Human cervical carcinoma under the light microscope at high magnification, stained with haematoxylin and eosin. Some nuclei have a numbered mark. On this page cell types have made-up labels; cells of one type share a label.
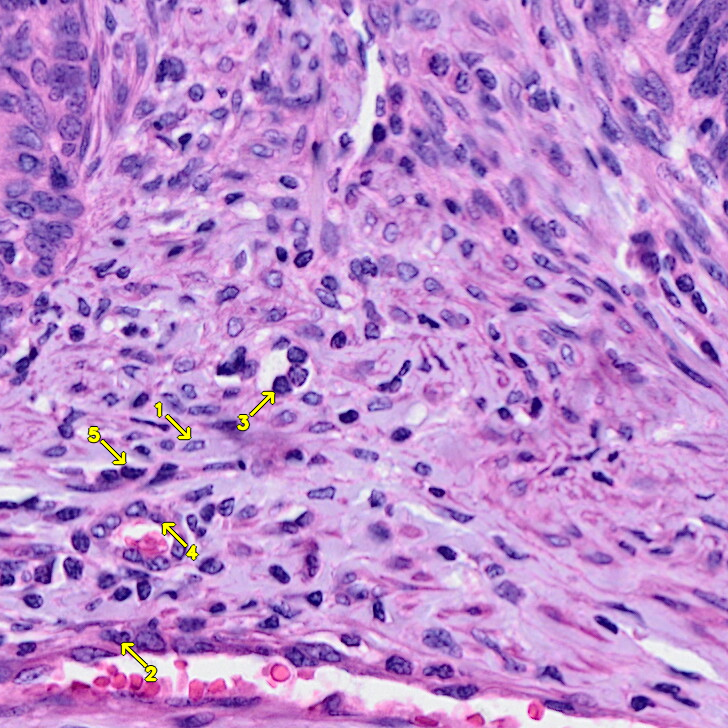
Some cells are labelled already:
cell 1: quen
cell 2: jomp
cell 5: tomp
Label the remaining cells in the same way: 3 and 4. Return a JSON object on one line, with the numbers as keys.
{"3": "tomp", "4": "jomp"}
